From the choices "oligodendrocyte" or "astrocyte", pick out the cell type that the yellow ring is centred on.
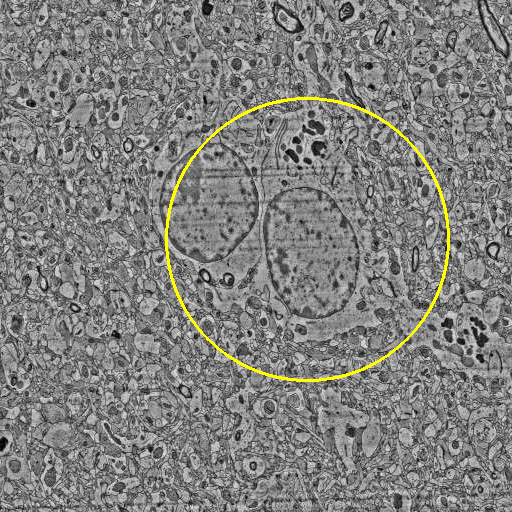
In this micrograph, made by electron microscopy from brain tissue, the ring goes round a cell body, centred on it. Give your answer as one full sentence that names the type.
The yellow ring is centred on an astrocyte, whose cell body it encircles in the picture.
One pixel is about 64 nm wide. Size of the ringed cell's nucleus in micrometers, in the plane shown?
The nucleus is approximately 8 micrometers long by 6 micrometers wide in this plane.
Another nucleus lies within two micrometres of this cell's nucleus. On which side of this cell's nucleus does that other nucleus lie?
The other nucleus is situated to the upper left of it.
